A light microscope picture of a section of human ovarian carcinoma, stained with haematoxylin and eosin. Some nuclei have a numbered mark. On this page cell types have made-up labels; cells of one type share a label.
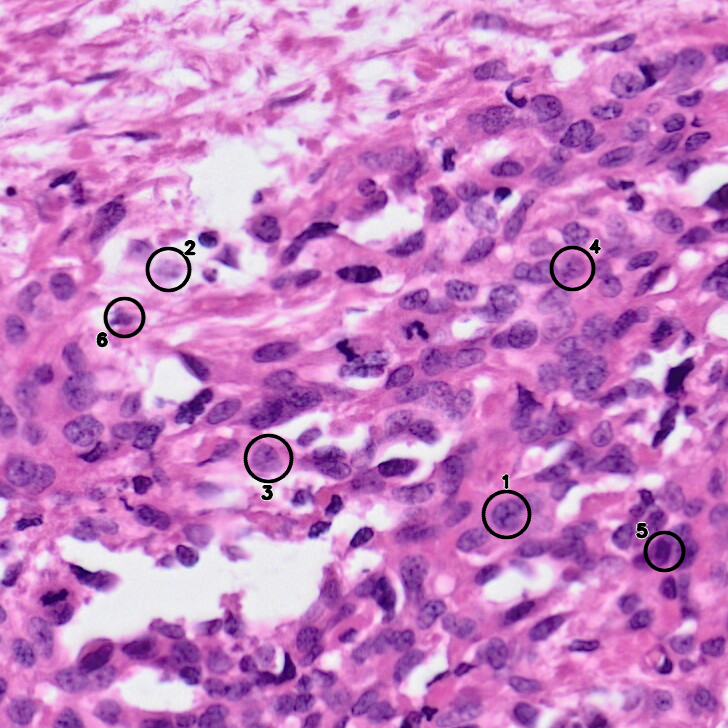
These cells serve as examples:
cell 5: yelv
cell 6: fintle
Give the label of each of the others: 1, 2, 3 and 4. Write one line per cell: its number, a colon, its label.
1: yelv
2: fintle
3: yelv
4: yelv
